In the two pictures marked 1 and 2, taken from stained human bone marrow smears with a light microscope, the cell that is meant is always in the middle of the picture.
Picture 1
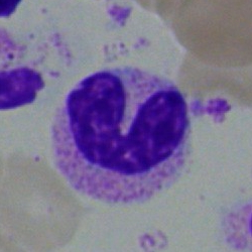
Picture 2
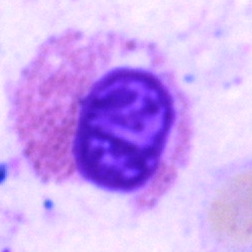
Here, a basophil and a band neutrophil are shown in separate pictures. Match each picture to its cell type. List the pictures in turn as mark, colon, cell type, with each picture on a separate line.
1: band neutrophil
2: basophil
